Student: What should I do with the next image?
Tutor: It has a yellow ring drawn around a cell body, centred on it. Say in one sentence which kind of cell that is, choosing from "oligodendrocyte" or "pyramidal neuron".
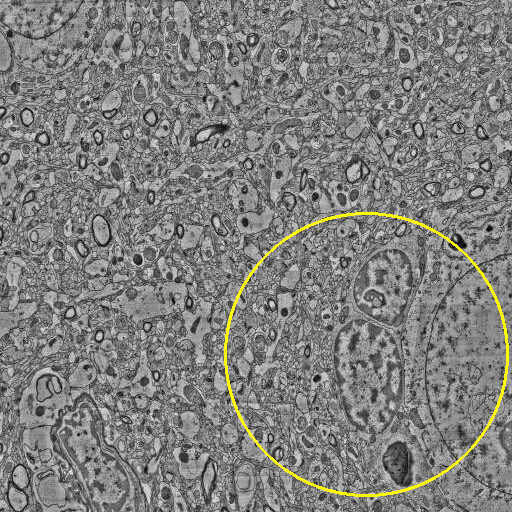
The ring's centre is occupied by an oligodendrocyte.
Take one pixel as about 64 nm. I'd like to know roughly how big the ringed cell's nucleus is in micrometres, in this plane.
About 7 by 4 micrometres in this plane; clearly longer than it is wide.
